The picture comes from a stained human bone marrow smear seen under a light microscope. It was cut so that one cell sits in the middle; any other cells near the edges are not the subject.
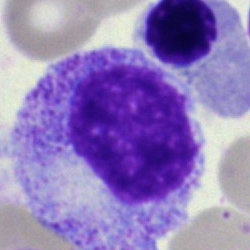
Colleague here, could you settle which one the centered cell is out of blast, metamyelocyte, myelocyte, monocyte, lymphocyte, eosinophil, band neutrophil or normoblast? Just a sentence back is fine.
The central cell in this smear crop is a myelocyte.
